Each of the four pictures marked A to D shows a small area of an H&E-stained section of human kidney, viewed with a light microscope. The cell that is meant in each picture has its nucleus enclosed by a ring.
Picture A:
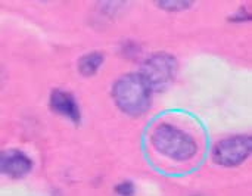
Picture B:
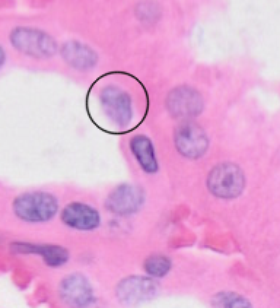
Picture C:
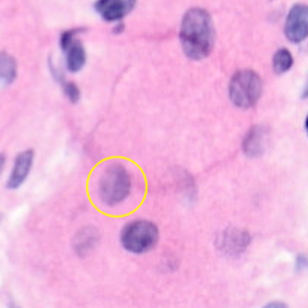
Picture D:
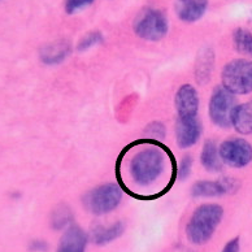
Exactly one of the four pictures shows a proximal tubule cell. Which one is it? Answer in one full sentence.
It is picture C that shows the proximal tubule cell.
